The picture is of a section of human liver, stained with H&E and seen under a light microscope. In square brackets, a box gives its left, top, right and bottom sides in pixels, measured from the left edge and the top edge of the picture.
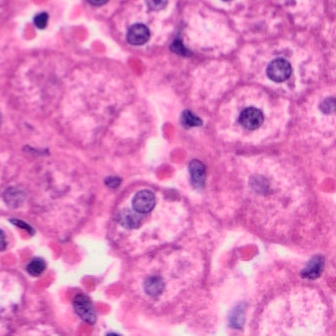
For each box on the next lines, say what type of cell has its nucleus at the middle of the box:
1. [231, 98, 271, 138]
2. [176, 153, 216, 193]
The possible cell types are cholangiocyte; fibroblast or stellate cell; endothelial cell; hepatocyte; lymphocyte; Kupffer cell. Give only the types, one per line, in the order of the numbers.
hepatocyte
Kupffer cell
